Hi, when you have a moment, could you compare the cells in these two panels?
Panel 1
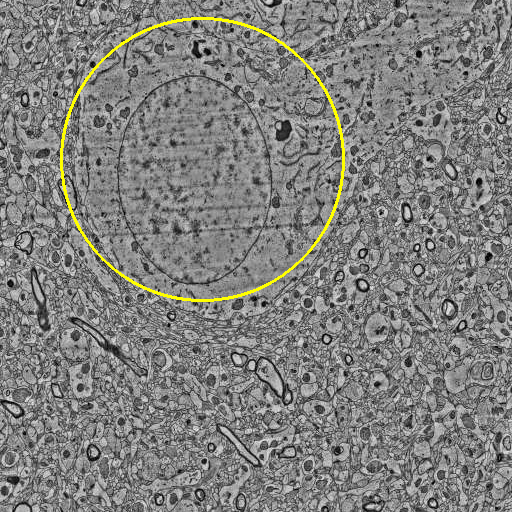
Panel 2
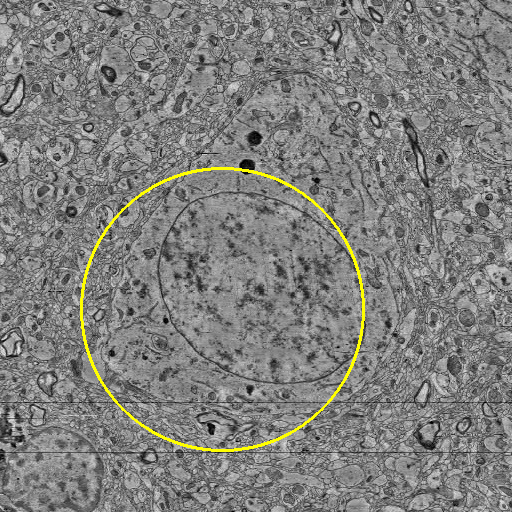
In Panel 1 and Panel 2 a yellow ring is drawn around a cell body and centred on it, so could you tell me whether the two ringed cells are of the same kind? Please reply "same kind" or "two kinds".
same kind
